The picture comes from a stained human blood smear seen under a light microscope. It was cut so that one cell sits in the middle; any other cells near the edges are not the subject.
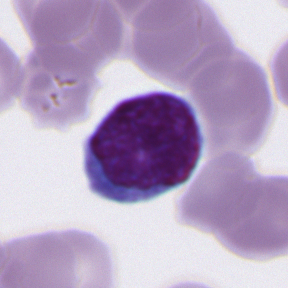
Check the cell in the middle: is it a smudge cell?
no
